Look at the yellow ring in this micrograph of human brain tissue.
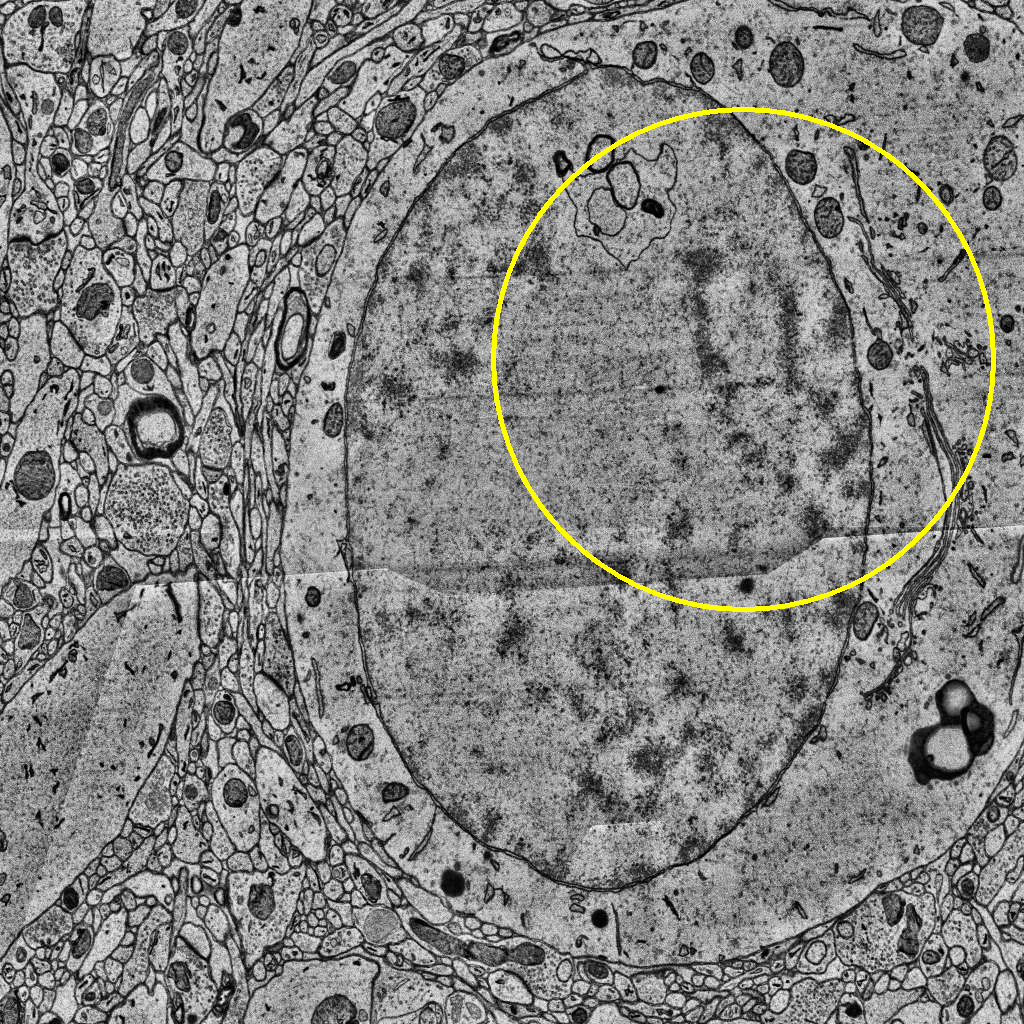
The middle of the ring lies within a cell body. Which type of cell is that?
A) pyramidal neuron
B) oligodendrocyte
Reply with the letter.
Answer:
A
